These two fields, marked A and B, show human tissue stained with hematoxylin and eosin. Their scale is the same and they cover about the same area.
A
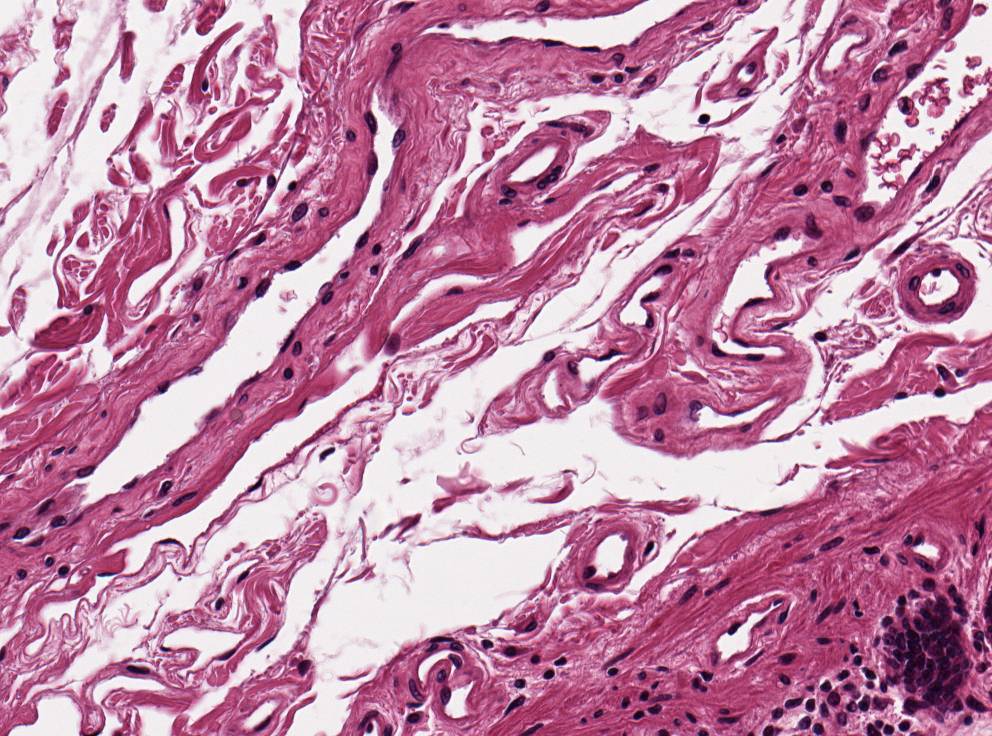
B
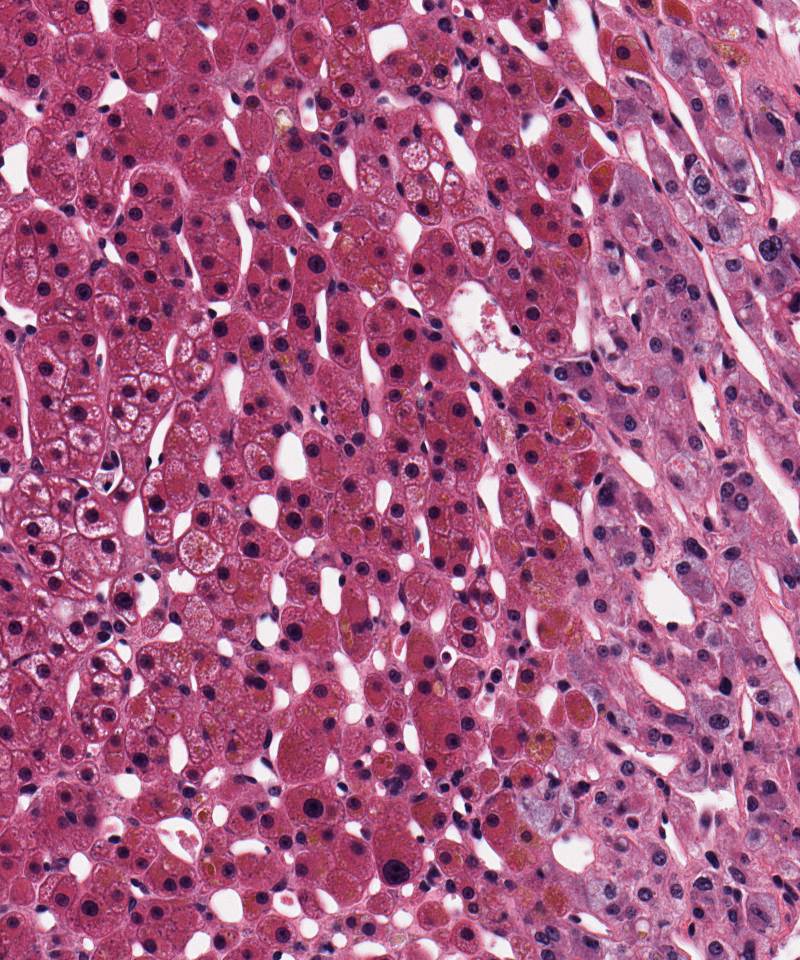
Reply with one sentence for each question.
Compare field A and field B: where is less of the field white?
Field B has less white space.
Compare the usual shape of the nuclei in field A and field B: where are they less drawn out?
Rounder nuclei lie in field B.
